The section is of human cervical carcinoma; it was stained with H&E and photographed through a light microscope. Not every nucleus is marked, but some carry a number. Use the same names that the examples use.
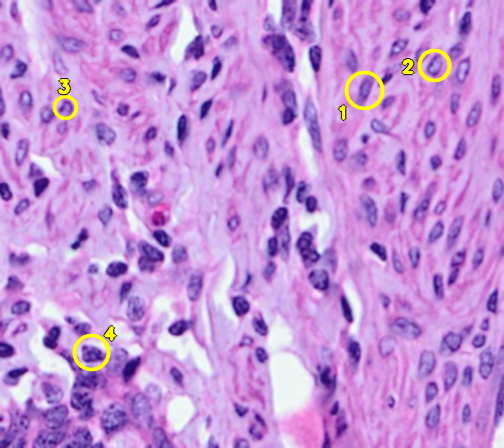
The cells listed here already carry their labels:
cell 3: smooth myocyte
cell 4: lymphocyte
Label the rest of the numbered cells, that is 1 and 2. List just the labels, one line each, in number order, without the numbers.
smooth myocyte
smooth myocyte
